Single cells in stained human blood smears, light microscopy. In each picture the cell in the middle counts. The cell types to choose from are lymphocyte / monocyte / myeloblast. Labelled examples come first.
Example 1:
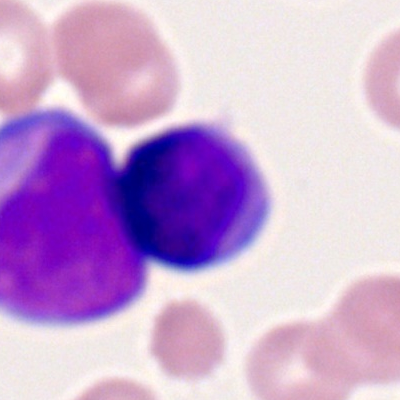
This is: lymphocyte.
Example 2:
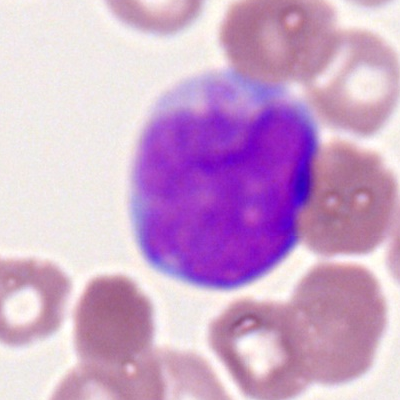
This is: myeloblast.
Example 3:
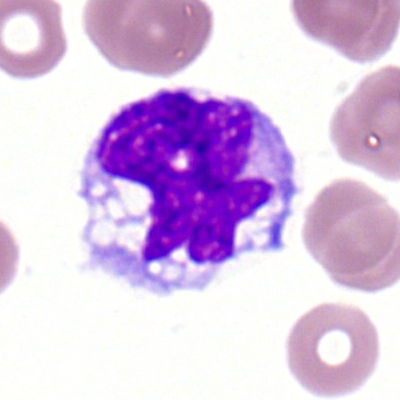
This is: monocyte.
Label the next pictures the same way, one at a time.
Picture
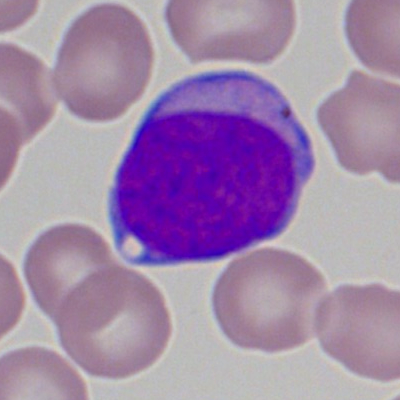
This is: myeloblast.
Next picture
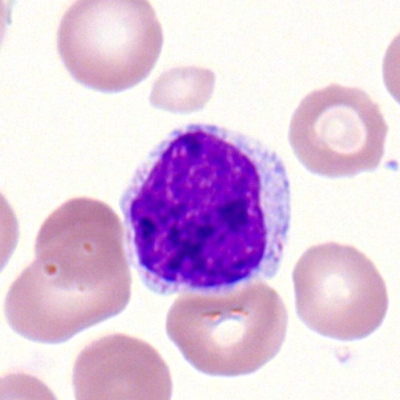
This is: lymphocyte.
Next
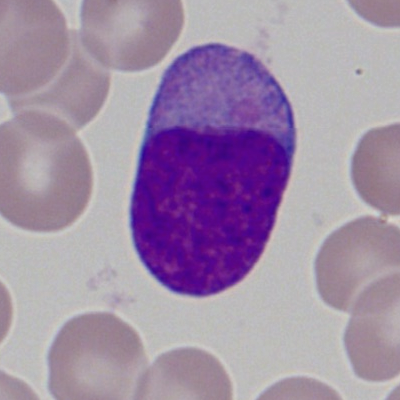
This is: myeloblast.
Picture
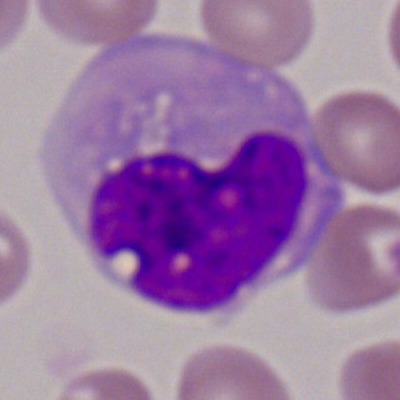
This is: monocyte.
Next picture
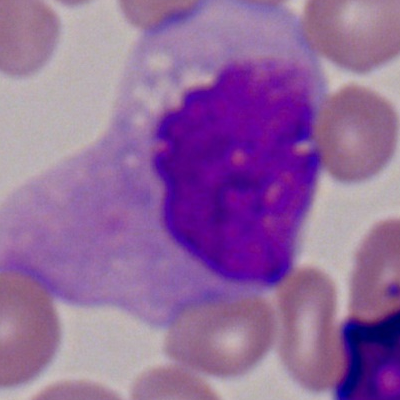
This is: monocyte.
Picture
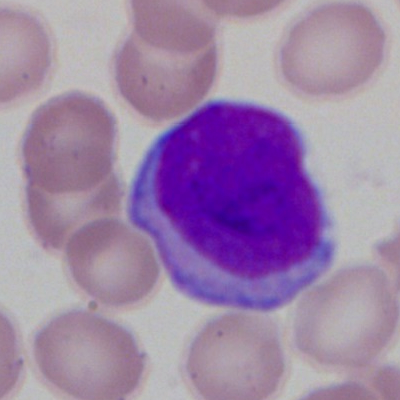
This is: myeloblast.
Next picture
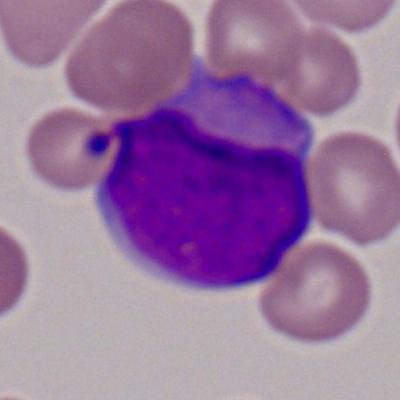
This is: myeloblast.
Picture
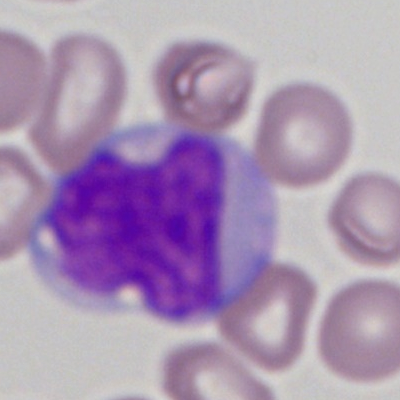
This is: monocyte.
